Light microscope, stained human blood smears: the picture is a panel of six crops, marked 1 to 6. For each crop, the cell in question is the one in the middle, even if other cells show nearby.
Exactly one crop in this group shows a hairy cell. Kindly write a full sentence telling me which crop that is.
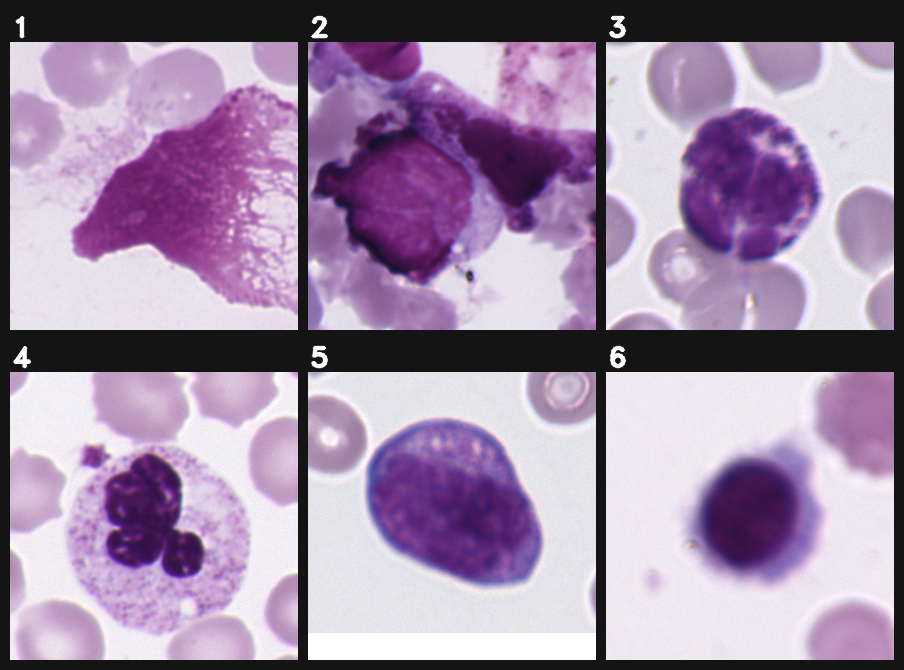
Crop 6 is the right one; it is the crop showing a hairy cell.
